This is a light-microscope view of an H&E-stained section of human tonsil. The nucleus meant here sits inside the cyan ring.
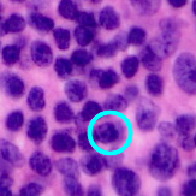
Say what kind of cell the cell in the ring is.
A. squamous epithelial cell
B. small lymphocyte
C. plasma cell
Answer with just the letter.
B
